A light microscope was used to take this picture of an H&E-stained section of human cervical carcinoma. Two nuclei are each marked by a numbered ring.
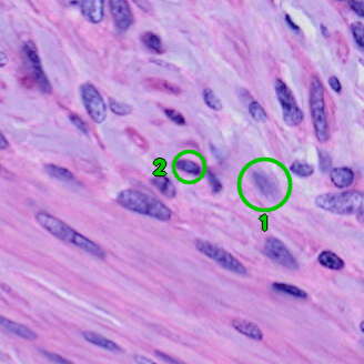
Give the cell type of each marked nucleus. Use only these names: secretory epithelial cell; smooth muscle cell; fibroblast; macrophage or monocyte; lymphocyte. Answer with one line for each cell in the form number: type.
1: fibroblast
2: smooth muscle cell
